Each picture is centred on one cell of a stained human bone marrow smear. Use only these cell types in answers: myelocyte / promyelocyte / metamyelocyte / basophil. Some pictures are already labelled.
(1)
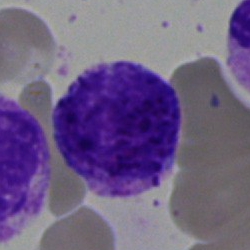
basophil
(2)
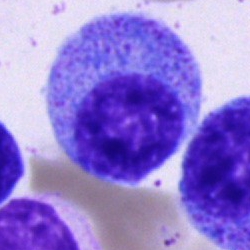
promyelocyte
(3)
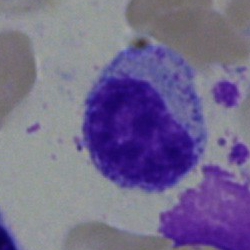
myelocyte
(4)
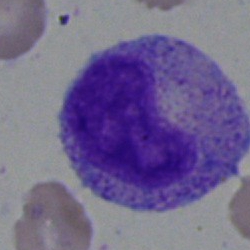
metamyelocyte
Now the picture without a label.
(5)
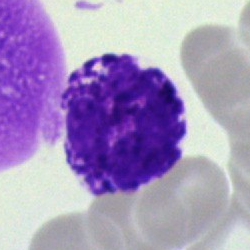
basophil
